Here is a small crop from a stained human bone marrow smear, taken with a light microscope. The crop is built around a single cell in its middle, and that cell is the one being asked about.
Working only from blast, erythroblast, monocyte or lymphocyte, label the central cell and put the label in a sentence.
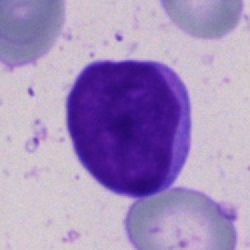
For this crop, the central cell is a blast.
